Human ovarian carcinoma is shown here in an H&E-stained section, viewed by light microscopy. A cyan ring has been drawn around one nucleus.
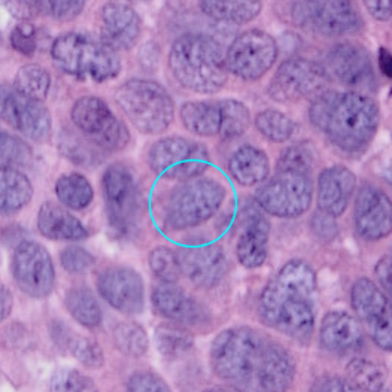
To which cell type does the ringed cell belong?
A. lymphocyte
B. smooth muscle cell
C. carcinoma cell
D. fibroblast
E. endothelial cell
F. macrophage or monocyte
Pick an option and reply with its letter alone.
C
